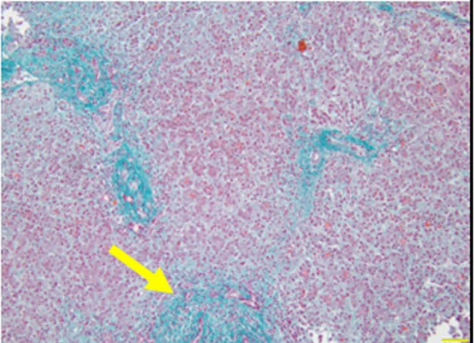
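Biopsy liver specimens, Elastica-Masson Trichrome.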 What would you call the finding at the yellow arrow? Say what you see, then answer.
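Fibrotic area. The arrow points to a patch of blue-green stained fibrous tissue. Other blue-green fibrous areas surround vessels in the parenchyma.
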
